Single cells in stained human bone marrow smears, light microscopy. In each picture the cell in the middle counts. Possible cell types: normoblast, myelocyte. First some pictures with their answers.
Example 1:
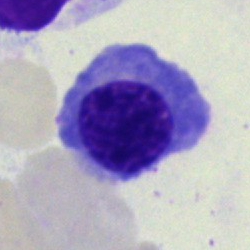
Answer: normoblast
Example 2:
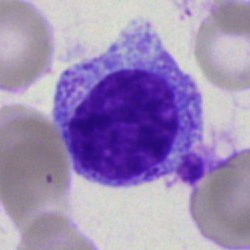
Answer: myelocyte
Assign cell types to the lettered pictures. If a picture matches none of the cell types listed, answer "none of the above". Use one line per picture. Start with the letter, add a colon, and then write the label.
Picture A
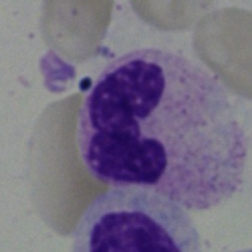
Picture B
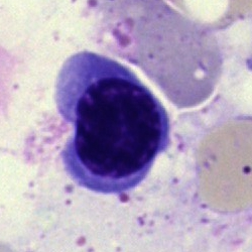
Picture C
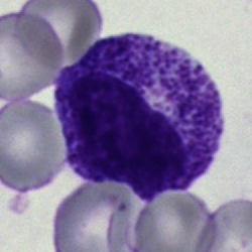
A: none of the above
B: normoblast
C: myelocyte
